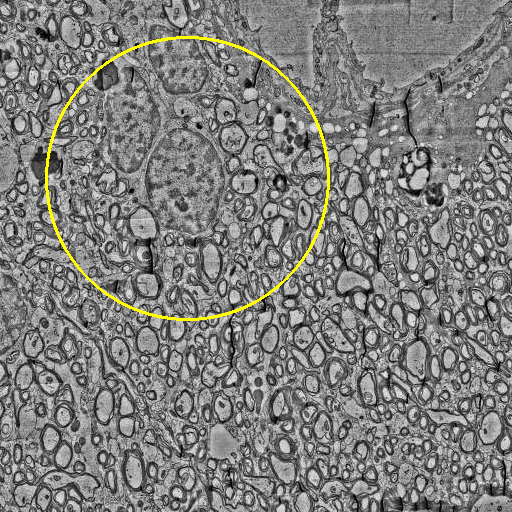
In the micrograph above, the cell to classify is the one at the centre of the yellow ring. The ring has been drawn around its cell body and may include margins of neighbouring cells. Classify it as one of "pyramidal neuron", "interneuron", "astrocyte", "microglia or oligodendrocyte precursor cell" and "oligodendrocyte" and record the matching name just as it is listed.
oligodendrocyte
